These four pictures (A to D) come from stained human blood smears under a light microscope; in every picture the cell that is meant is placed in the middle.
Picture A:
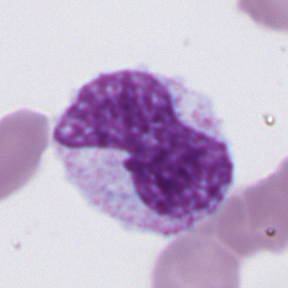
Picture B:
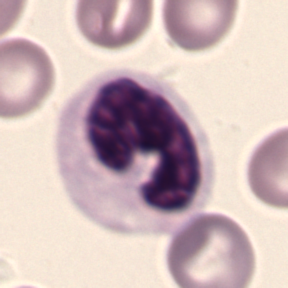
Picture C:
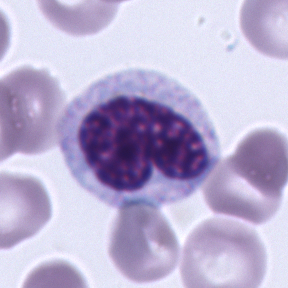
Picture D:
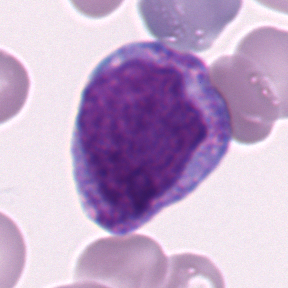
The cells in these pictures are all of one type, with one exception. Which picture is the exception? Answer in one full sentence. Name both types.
Unlike the rest, which show band neutrophils, picture D shows an atypical promyelocyte.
